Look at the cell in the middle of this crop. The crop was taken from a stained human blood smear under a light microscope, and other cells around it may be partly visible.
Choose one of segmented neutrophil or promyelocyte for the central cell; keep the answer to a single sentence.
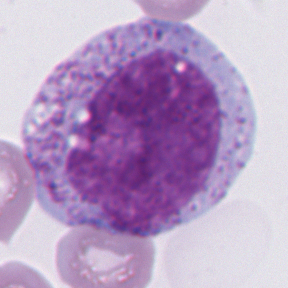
Seen at the centre of the crop is a promyelocyte.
